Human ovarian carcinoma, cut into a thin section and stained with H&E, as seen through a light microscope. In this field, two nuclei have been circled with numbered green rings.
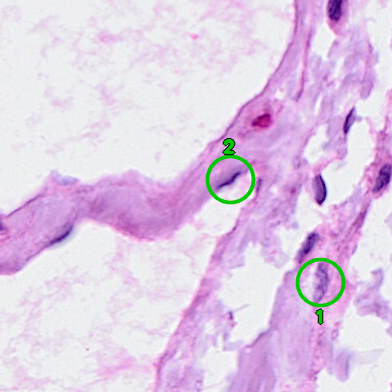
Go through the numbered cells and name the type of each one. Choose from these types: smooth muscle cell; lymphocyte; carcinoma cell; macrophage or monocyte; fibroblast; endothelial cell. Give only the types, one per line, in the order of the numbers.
fibroblast
endothelial cell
